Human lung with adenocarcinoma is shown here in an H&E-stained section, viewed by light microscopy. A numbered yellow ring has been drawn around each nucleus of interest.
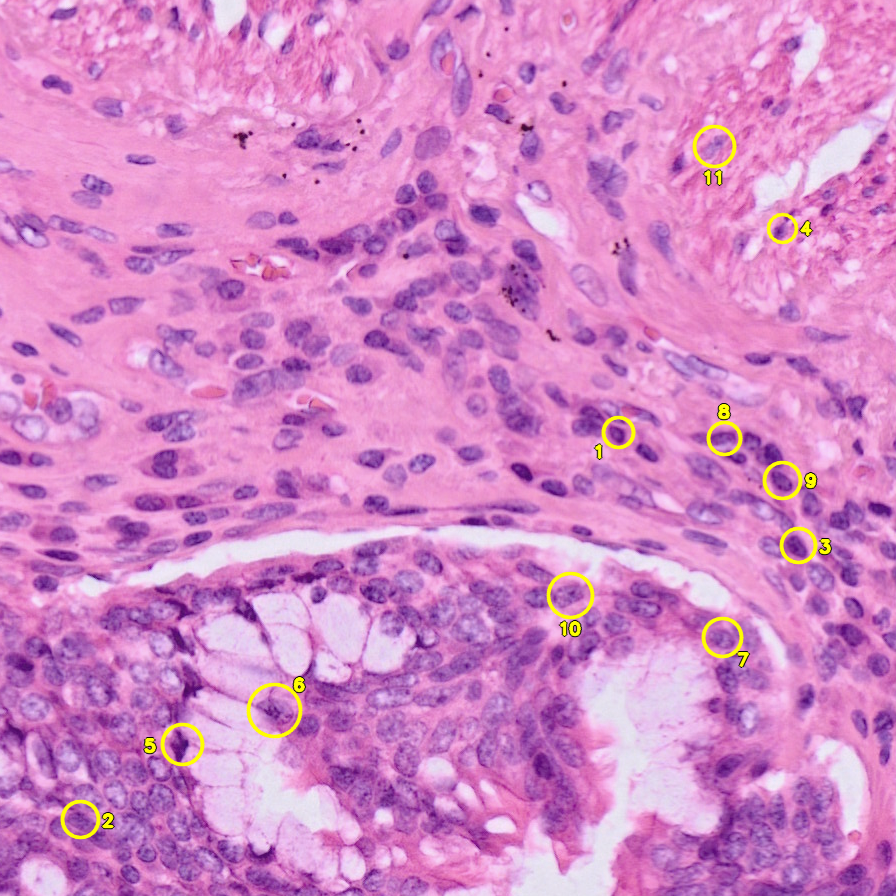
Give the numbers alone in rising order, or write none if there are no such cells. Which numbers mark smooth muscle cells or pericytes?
4, 11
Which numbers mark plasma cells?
1, 3, 8, 9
